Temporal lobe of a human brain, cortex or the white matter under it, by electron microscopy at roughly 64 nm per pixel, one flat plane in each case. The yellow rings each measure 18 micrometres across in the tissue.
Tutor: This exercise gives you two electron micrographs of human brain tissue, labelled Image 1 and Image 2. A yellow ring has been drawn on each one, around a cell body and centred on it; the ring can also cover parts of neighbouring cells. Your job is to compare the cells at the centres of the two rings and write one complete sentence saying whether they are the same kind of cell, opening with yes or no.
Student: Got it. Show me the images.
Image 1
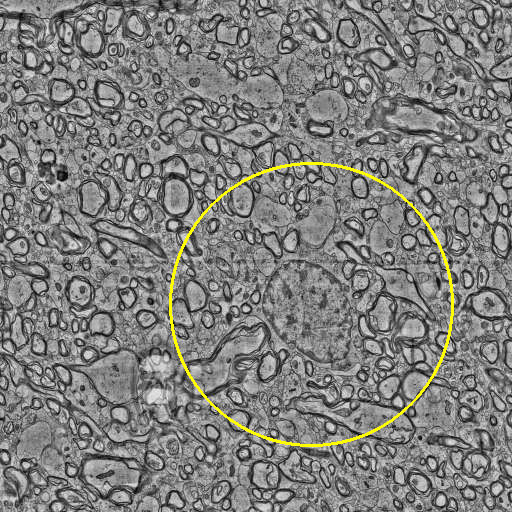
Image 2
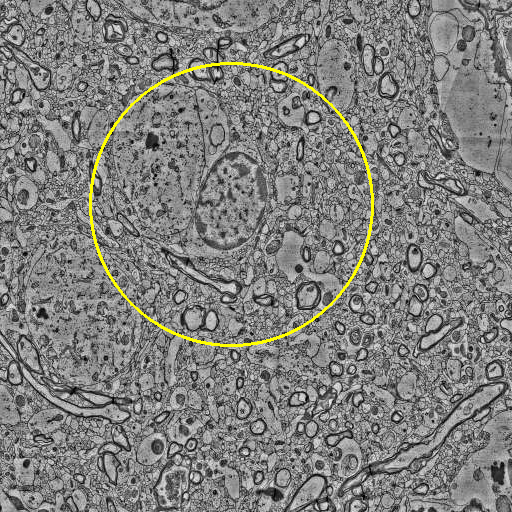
No, the two cells belong to two kinds.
